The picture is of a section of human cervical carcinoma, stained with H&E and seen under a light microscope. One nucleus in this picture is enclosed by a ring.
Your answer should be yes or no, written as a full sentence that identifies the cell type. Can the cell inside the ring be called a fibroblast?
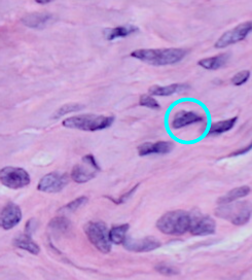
Yes, to name the cell inside the ring a fibroblast is correct.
